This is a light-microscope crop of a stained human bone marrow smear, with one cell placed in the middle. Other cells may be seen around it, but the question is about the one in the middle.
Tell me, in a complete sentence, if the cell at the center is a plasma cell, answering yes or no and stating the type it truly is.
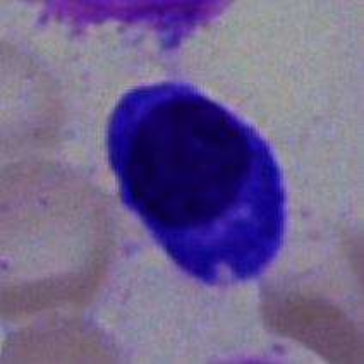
Yes, the central cell is to be recorded as a plasma cell.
